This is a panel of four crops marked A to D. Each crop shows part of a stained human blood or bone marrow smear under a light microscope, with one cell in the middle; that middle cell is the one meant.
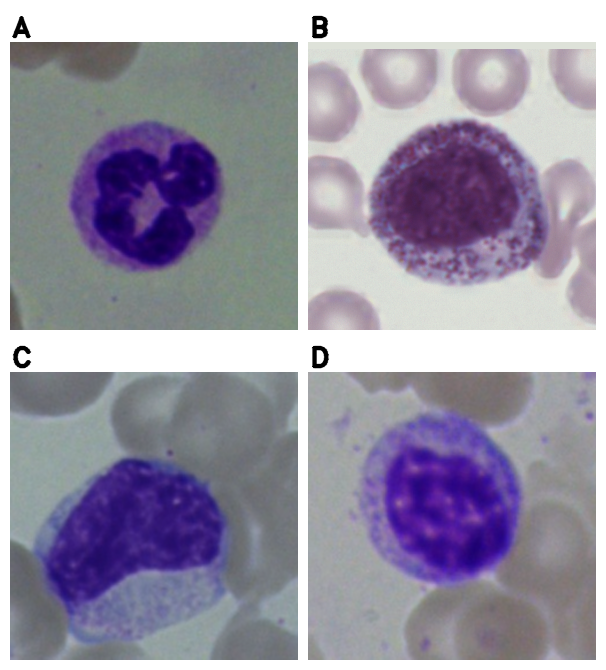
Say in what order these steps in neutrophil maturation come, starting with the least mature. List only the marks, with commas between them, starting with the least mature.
B, D, C, A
